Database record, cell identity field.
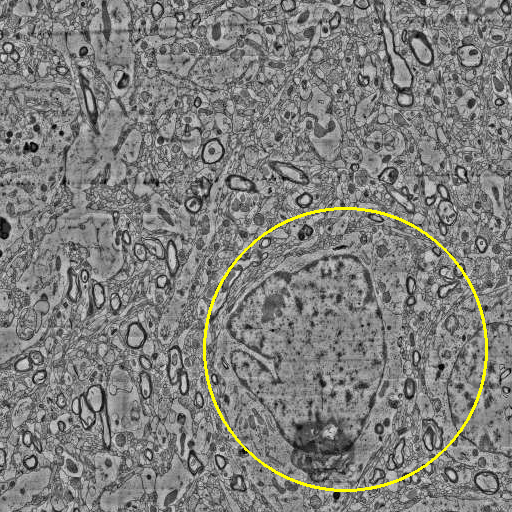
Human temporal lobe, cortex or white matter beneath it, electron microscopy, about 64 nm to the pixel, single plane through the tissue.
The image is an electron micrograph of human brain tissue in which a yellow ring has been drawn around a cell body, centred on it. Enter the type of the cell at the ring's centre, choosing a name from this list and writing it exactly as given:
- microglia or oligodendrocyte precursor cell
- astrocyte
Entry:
microglia or oligodendrocyte precursor cell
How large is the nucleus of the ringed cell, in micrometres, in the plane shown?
About 11 micrometres across in this plane, for the nucleus.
